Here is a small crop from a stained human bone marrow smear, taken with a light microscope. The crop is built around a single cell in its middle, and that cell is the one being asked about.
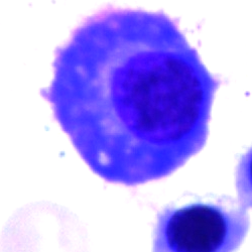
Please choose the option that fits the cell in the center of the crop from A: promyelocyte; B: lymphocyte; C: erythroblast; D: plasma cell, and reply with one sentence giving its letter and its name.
Of the choices given, option D is right, as the central cell is a plasma cell.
